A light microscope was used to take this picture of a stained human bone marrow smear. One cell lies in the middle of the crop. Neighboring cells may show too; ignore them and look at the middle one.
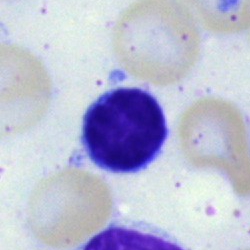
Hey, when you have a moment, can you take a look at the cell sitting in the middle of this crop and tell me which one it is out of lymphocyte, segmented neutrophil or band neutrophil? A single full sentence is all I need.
To answer, the cell in the center of the crop is a lymphocyte.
